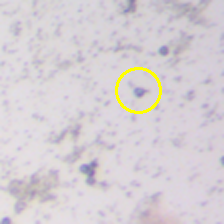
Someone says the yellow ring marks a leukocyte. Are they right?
They are right: it is a leukocyte.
